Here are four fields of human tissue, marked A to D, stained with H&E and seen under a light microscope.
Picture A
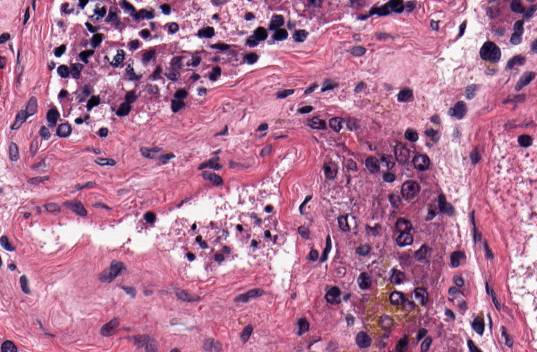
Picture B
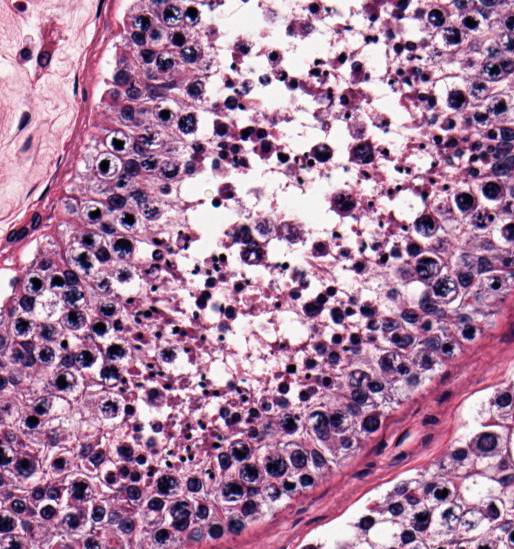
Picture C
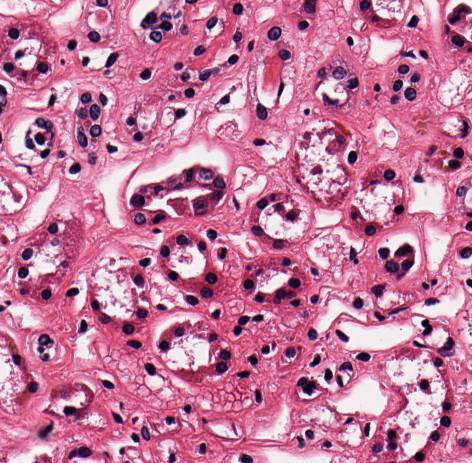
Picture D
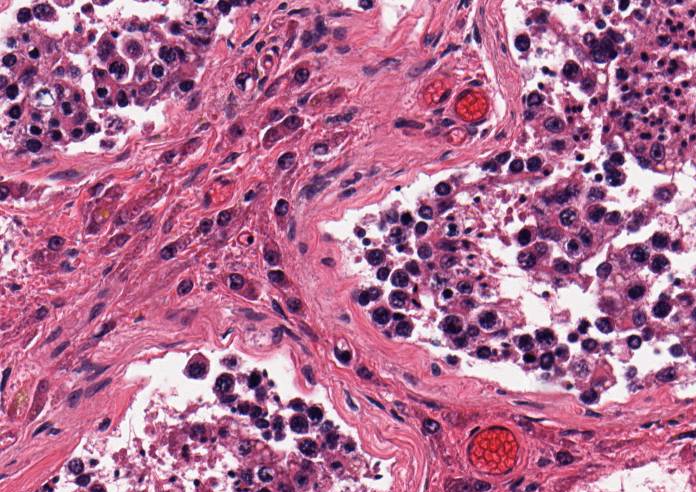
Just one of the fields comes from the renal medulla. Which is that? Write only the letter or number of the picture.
C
